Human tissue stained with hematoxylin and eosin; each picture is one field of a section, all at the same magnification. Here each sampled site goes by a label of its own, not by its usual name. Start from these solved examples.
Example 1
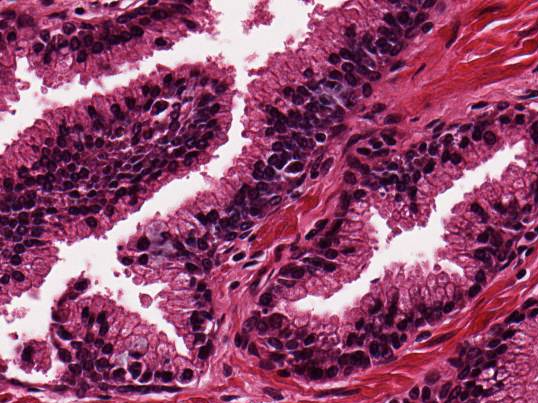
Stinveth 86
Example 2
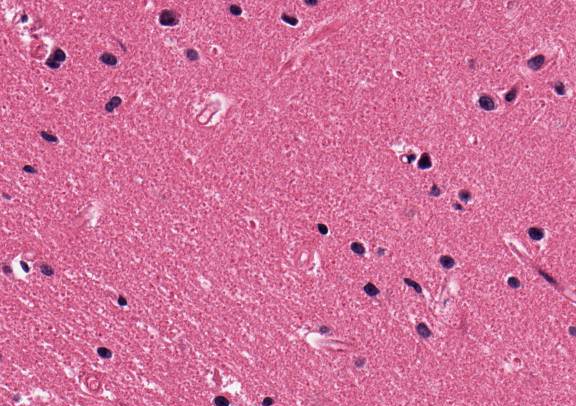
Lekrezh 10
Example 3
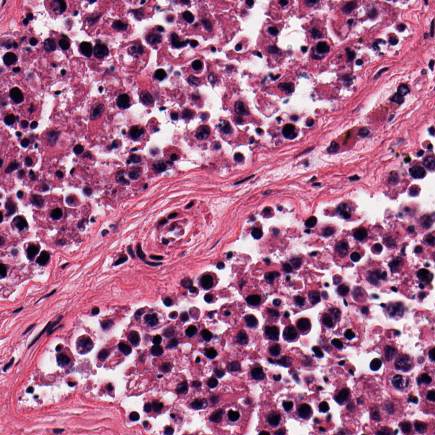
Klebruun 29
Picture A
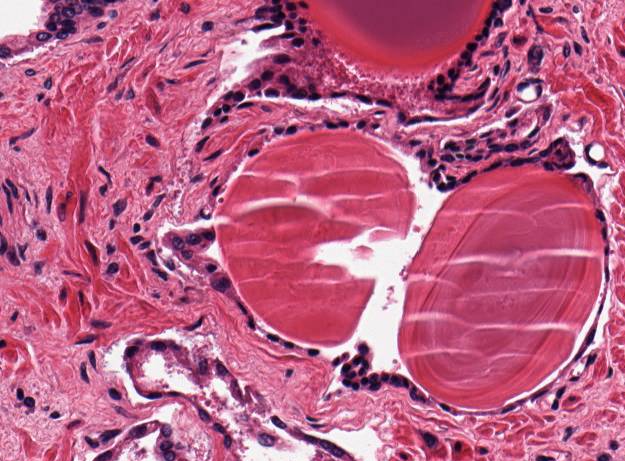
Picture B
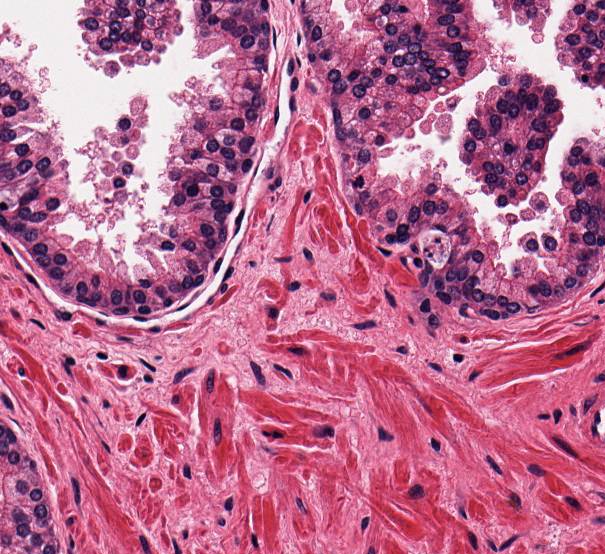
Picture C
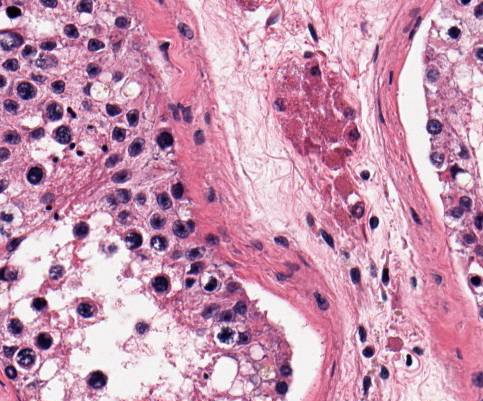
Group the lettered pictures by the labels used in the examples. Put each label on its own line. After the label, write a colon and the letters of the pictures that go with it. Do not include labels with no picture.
Stinveth 86: A, B
Klebruun 29: C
